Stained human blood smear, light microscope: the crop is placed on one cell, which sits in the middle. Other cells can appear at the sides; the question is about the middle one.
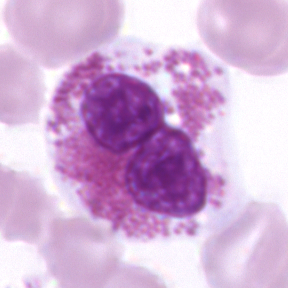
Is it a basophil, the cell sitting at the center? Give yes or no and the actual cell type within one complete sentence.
No, that guess of a basophil misses; the central cell is an eosinophil.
